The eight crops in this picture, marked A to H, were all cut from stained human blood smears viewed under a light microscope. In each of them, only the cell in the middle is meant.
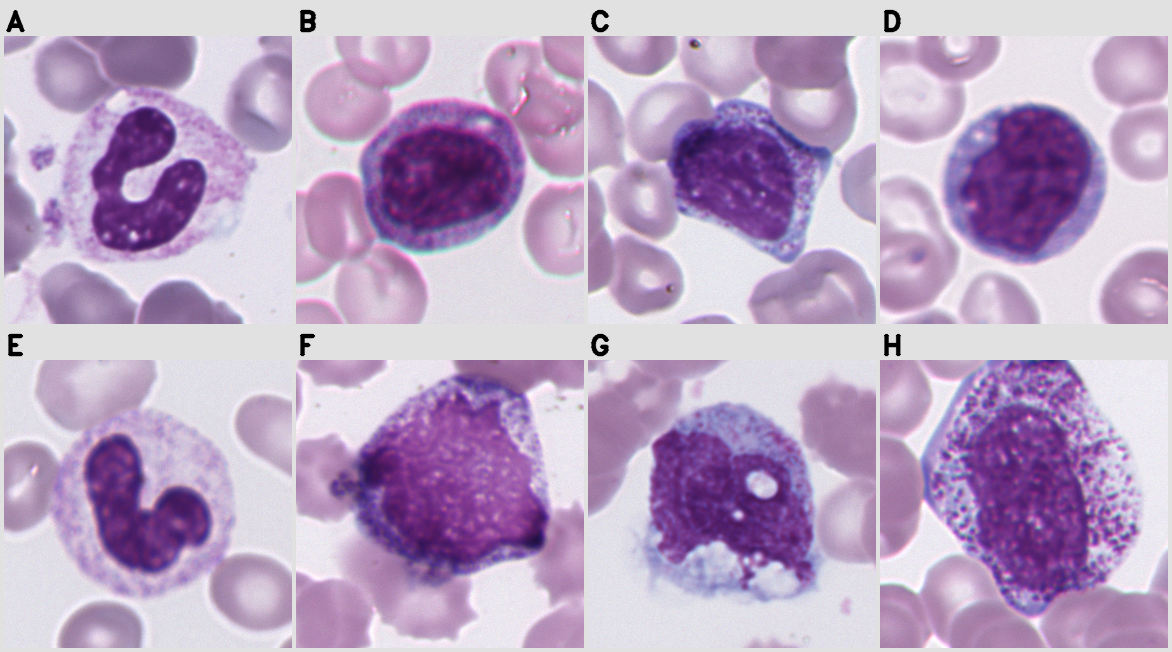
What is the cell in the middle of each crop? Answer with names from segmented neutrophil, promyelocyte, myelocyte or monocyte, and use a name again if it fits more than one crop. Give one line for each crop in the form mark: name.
A: segmented neutrophil
B: myelocyte
C: myelocyte
D: monocyte
E: segmented neutrophil
F: promyelocyte
G: monocyte
H: promyelocyte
